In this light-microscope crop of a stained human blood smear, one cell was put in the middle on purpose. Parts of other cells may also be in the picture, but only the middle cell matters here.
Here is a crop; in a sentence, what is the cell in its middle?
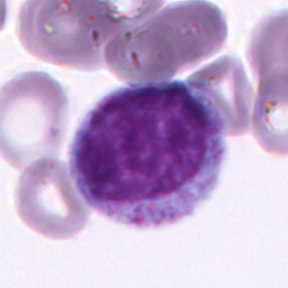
Answering briefly, the cell in the middle is a myelocyte.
